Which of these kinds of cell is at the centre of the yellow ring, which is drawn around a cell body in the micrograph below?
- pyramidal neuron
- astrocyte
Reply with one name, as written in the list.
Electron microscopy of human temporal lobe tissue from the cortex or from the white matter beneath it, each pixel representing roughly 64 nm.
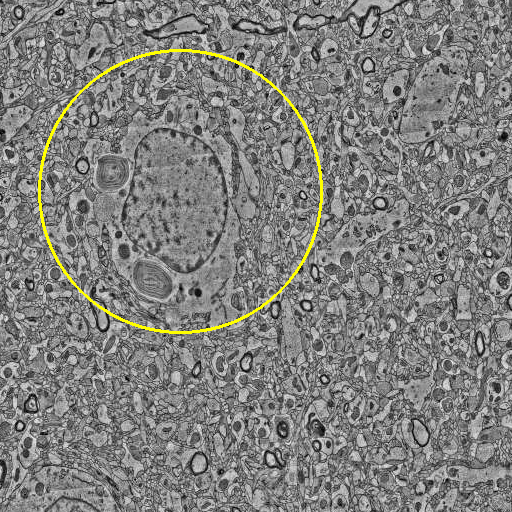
astrocyte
